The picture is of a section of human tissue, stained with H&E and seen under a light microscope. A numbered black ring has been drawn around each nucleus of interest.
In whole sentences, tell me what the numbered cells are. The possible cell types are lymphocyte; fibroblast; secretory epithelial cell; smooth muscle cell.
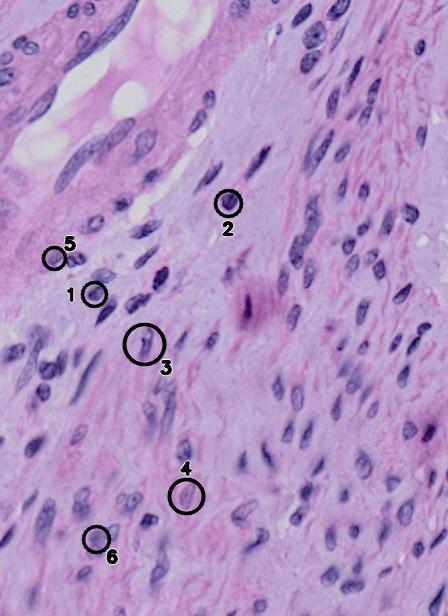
Cell 1 is a fibroblast. Cell 2 is a lymphocyte. Cells 3, 4, 5 and 6 are smooth muscle cells.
